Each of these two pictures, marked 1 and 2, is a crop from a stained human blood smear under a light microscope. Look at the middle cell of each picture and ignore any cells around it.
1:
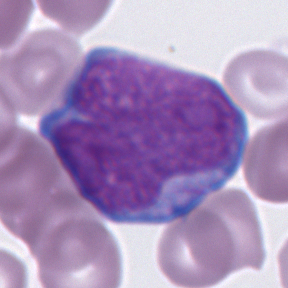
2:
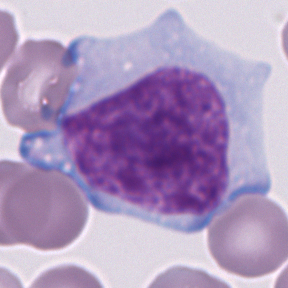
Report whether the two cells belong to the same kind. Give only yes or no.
yes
